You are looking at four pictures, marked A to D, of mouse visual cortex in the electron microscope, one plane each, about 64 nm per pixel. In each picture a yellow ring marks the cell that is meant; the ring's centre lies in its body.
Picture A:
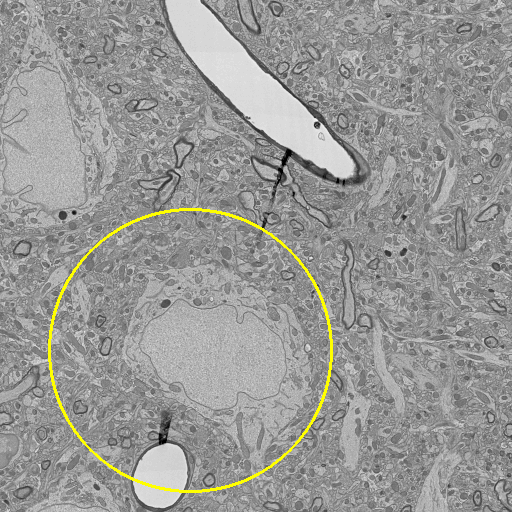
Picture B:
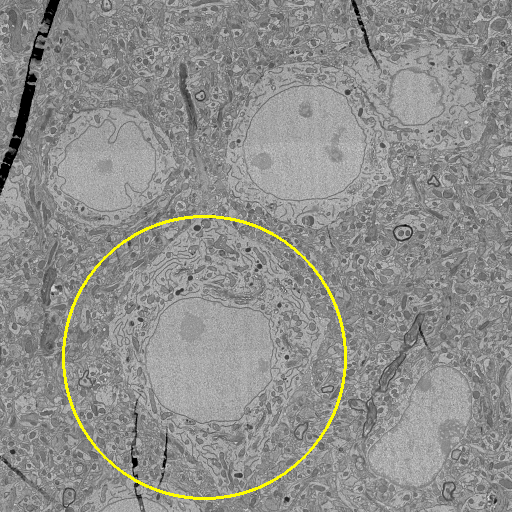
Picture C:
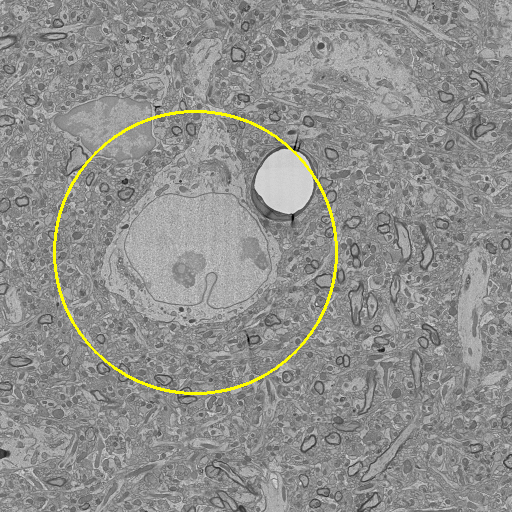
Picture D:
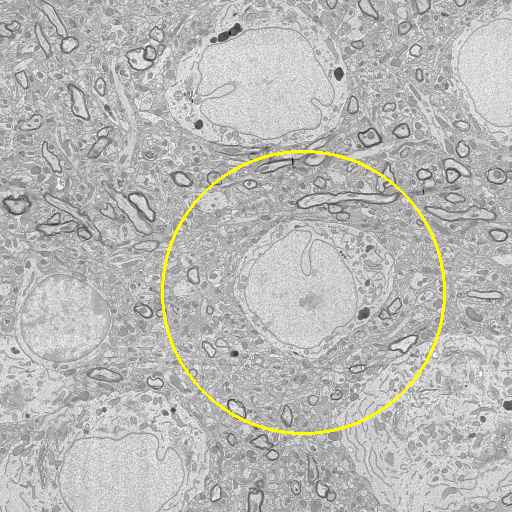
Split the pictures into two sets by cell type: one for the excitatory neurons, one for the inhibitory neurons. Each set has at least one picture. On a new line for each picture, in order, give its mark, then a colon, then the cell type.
A: excitatory neuron
B: inhibitory neuron
C: excitatory neuron
D: inhibitory neuron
